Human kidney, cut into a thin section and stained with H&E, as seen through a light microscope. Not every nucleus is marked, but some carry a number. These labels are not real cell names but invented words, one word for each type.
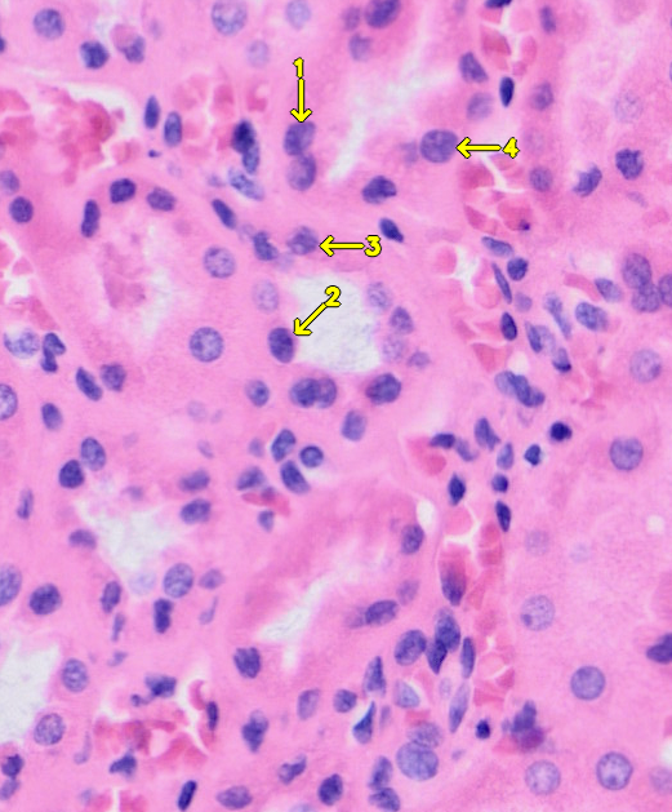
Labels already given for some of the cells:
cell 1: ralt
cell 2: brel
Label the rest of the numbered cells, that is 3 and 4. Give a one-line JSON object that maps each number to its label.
{"3": "brel", "4": "ralt"}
